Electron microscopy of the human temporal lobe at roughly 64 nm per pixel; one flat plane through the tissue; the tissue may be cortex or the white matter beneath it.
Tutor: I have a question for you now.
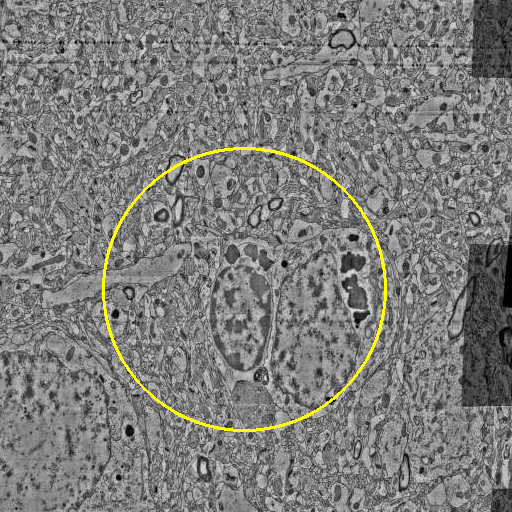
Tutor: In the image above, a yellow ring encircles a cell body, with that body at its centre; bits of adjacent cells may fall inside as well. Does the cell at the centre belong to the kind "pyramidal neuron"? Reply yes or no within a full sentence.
No, the centred cell inside the ring belongs to another kind.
